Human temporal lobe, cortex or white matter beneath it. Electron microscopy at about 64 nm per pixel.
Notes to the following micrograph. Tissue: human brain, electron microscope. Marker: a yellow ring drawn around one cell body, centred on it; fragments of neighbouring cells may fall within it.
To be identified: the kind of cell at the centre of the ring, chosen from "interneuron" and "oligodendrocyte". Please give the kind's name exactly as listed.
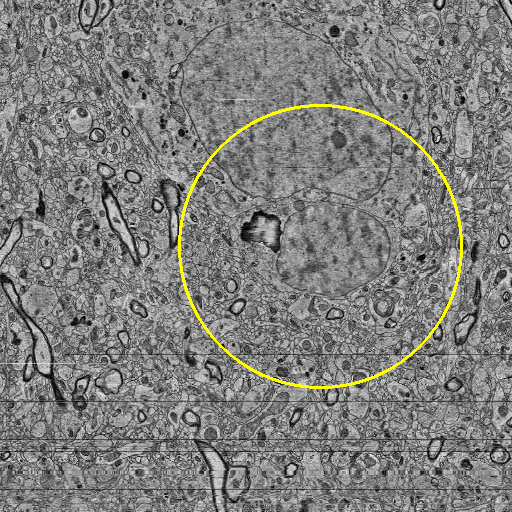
oligodendrocyte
